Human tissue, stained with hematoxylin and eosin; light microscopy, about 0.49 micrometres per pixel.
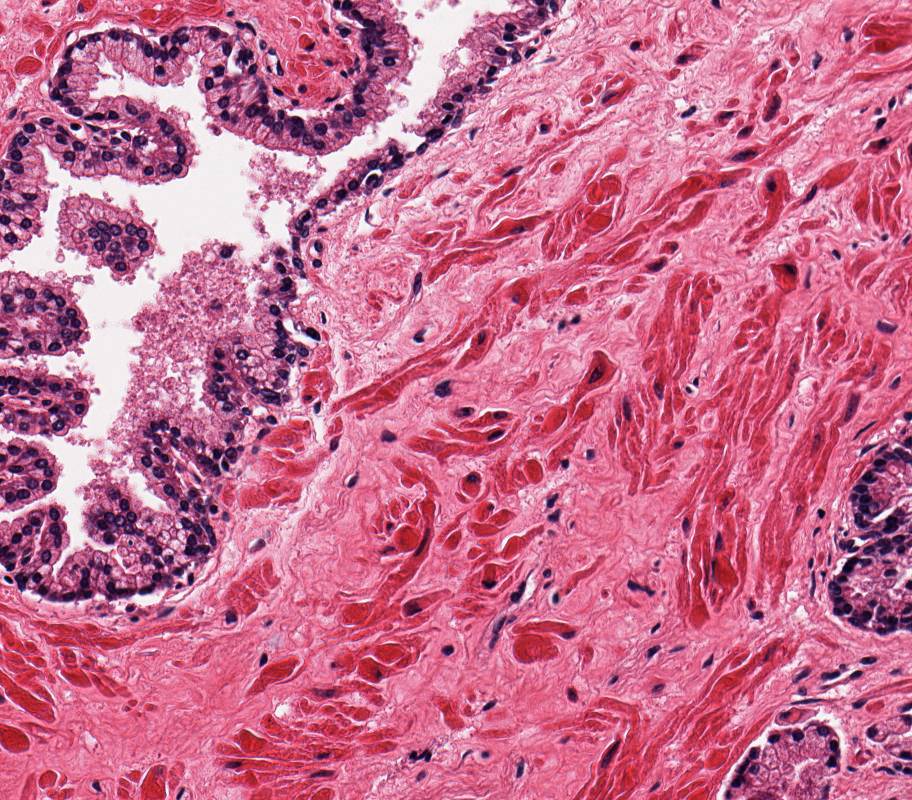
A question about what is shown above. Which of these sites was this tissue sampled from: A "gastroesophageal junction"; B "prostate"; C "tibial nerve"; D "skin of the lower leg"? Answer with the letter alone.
B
